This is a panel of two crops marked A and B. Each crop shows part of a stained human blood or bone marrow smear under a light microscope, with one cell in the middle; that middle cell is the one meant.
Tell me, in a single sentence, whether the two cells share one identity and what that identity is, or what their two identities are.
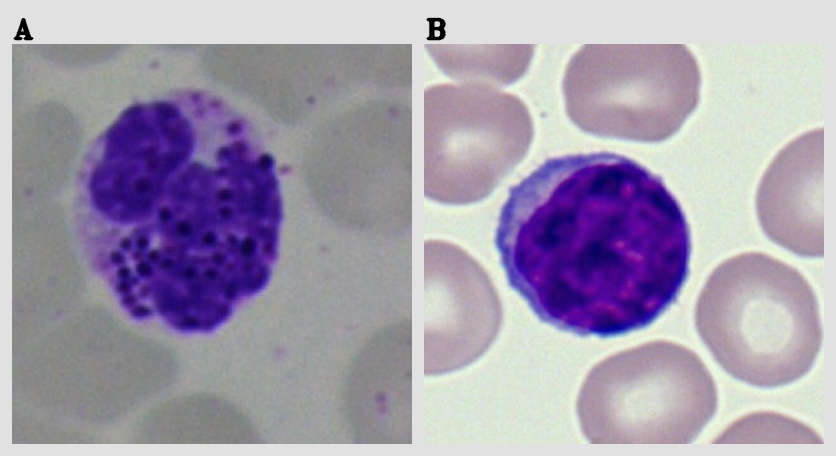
No, the cell that crop A shows is a basophil, and the one crop B shows is a lymphocyte.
